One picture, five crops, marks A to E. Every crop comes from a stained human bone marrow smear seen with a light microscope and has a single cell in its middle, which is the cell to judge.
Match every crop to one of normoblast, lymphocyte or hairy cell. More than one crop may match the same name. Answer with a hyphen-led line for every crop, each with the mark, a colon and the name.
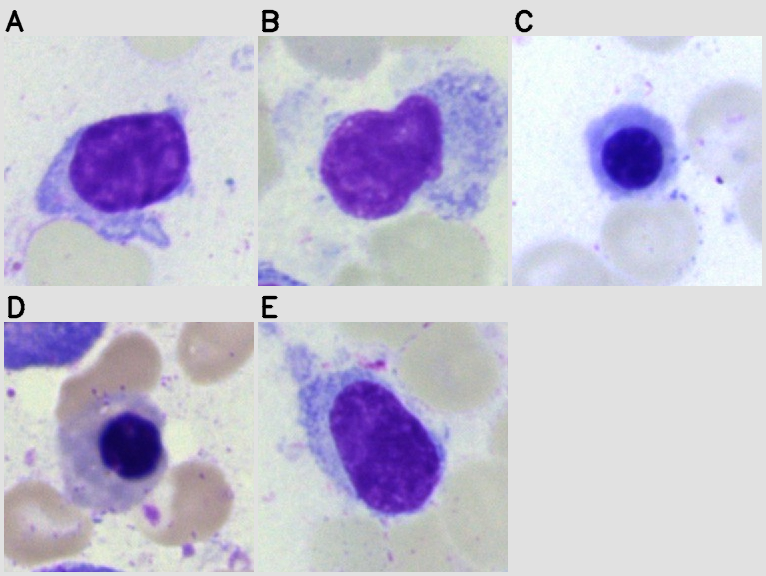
- A: lymphocyte
- B: hairy cell
- C: normoblast
- D: normoblast
- E: hairy cell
